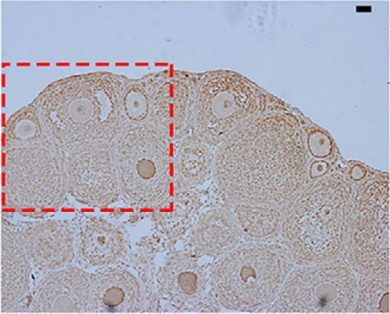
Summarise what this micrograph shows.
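This low-power view shows ovarian tissue packed with follicles of different sizes. Small follicles lie near the surface, while larger ones with many layers of granulosa cells lie deeper. Some larger follicles show irregular clear spaces among the granulosa cells. Stromal tissue fills the gaps between follicles.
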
